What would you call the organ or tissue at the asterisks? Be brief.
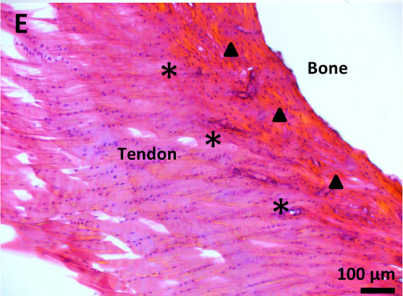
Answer: nonmineralized fibrocartilage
